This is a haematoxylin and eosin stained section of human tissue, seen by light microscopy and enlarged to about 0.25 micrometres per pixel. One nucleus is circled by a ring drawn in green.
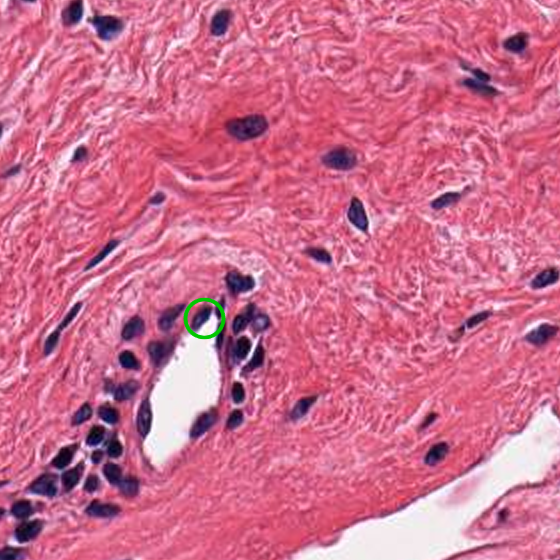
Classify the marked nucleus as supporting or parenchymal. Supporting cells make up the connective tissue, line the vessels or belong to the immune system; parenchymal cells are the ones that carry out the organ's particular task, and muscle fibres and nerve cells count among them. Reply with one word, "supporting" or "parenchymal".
supporting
